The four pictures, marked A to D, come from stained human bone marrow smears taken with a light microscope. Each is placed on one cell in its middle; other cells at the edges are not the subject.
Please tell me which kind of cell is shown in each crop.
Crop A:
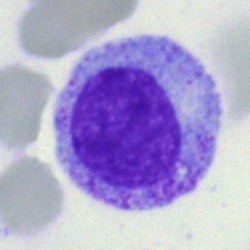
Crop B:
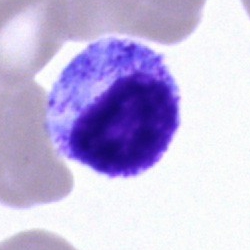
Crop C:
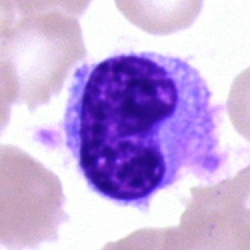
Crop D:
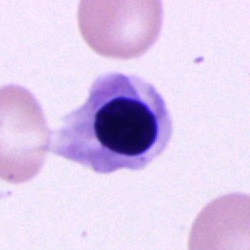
A: myelocyte
B: myelocyte
C: hairy cell
D: normoblast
